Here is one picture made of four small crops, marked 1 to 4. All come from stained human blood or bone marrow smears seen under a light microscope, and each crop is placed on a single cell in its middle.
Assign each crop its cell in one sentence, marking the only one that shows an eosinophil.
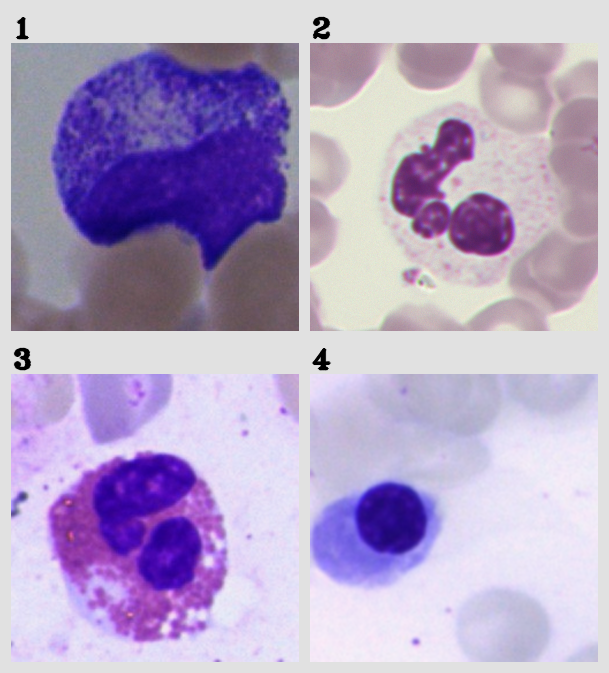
Whereas crop 1 is a metamyelocyte, crop 2 is a segmented neutrophil and crop 4 is an erythroblast, the cell at the centre of crop 3 is an eosinophil.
